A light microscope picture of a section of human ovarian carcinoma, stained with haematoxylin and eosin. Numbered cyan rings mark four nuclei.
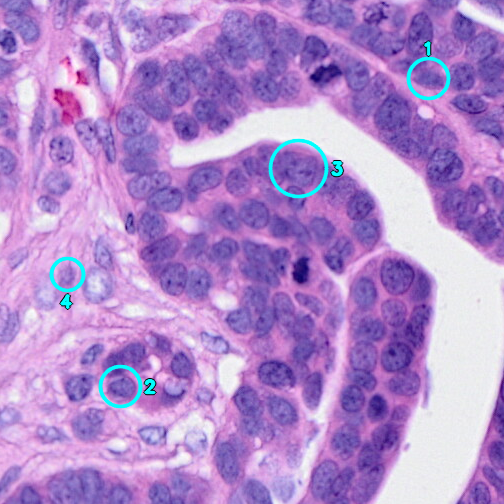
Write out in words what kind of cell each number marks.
Cell 1 is a carcinoma cell, cell 2 is a carcinoma cell, cell 3 is a carcinoma cell and cell 4 is a fibroblast.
